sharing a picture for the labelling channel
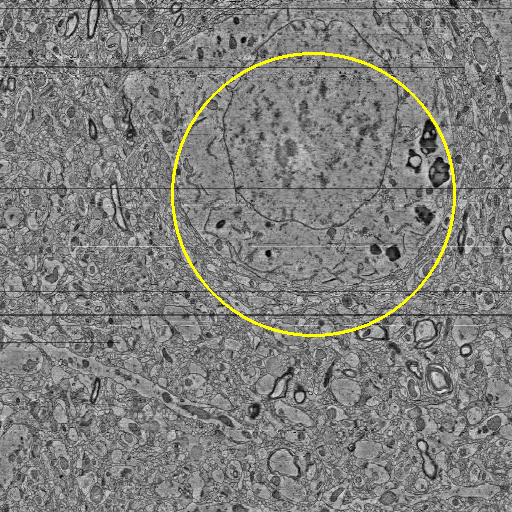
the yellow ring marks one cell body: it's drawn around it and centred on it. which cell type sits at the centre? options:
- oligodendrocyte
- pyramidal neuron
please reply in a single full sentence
In the picture, the cell at the ring's centre is a pyramidal neuron, going by the list.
